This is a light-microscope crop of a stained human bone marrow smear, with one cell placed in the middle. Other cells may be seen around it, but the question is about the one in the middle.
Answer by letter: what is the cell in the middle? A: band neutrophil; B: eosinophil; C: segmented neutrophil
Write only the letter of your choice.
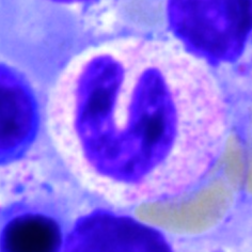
A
